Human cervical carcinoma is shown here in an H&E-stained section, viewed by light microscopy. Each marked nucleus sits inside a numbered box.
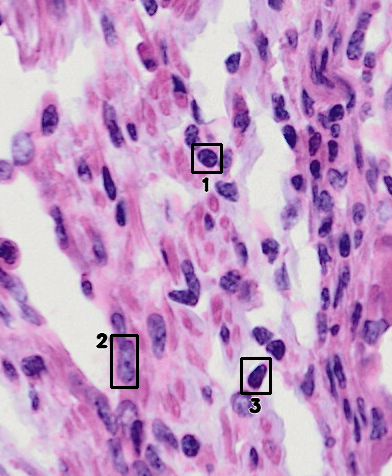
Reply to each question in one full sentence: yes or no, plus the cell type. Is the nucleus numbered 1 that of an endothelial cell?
No, the cell identified by number 1 is a lymphocyte, not an endothelial cell.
